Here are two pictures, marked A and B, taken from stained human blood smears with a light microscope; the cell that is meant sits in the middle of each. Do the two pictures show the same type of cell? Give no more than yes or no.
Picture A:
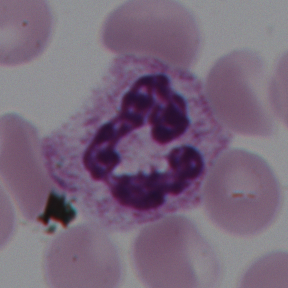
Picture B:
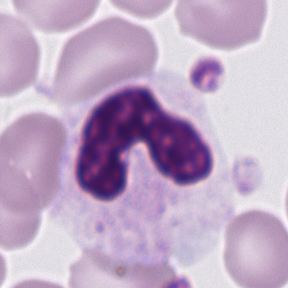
yes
